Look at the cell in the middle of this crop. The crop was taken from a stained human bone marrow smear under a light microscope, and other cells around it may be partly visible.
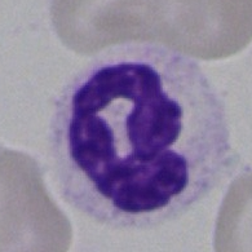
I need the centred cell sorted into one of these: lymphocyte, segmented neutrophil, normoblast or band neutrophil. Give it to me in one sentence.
For this crop, the central cell is a segmented neutrophil.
